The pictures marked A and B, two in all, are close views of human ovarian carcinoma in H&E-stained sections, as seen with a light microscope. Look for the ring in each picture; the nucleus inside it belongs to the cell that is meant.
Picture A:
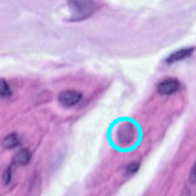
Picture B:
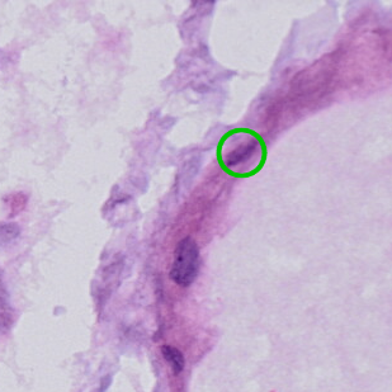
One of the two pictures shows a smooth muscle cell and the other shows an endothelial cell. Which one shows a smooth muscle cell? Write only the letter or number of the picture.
A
